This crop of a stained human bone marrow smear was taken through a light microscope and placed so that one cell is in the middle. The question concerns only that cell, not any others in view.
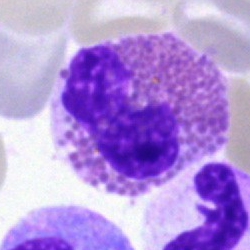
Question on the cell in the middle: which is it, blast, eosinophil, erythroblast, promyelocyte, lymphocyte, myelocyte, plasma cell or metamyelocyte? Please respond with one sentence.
Of the cells in this crop, the central one is an eosinophil.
